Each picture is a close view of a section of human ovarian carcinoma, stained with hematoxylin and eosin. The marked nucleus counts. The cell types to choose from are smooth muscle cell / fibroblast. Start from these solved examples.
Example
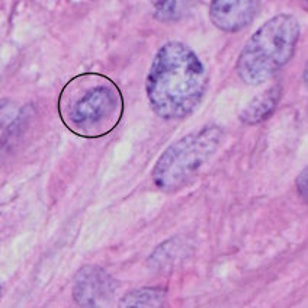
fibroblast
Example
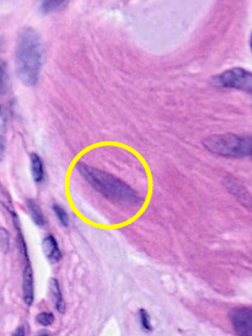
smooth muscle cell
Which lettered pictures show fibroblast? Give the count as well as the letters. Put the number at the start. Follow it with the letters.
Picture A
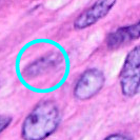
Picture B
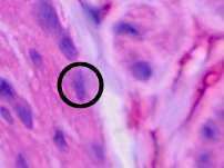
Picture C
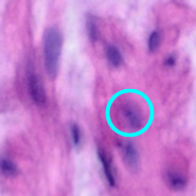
1: A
